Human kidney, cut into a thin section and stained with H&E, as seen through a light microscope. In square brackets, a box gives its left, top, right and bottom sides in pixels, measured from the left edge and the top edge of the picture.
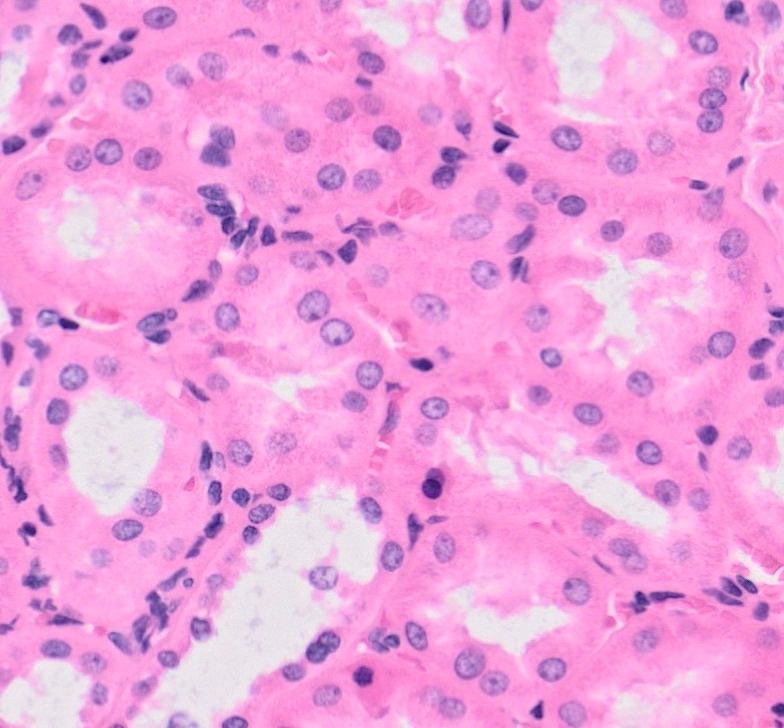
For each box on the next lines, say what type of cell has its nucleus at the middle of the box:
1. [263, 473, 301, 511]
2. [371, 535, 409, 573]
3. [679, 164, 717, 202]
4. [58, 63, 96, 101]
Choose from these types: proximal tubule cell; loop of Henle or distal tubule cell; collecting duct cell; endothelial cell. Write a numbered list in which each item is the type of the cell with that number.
1. loop of Henle or distal tubule cell
2. loop of Henle or distal tubule cell
3. endothelial cell
4. collecting duct cell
